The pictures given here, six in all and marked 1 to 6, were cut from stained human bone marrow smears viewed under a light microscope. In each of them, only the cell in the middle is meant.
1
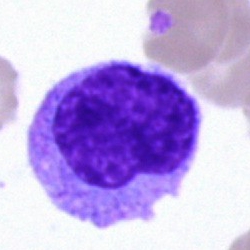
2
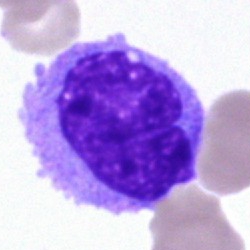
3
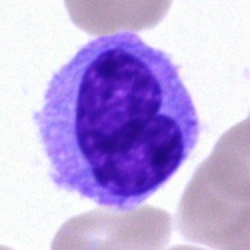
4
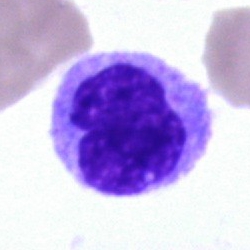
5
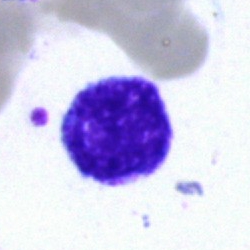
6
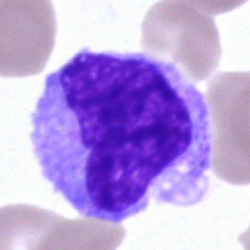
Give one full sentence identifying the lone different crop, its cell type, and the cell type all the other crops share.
Crop 5 is the exception here: it is a lymphocyte, and the others are monocytes.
